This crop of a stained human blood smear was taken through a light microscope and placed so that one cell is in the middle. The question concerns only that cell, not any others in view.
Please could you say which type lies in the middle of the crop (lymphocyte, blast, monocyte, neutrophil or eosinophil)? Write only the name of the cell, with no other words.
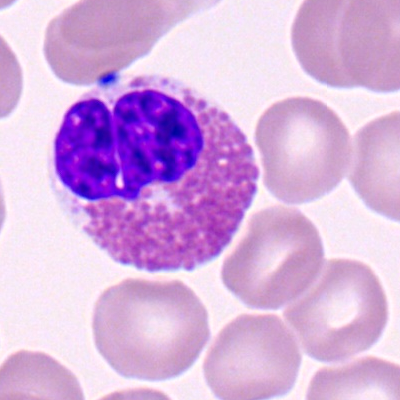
eosinophil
